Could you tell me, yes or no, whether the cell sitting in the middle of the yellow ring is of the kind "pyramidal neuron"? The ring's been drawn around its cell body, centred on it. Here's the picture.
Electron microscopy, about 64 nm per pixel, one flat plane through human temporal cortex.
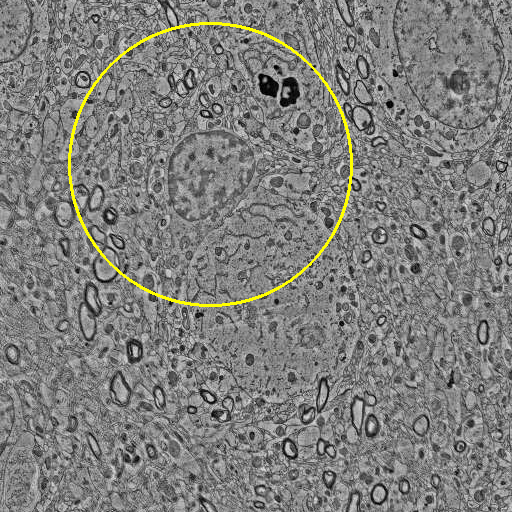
No, it is of another kind.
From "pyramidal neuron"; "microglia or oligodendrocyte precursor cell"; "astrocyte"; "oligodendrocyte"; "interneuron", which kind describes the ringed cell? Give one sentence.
The answer is that the ringed cell is an oligodendrocyte.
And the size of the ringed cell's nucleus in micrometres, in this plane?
The nucleus of the ringed cell is approximately 6 by 5 micrometres in this plane.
